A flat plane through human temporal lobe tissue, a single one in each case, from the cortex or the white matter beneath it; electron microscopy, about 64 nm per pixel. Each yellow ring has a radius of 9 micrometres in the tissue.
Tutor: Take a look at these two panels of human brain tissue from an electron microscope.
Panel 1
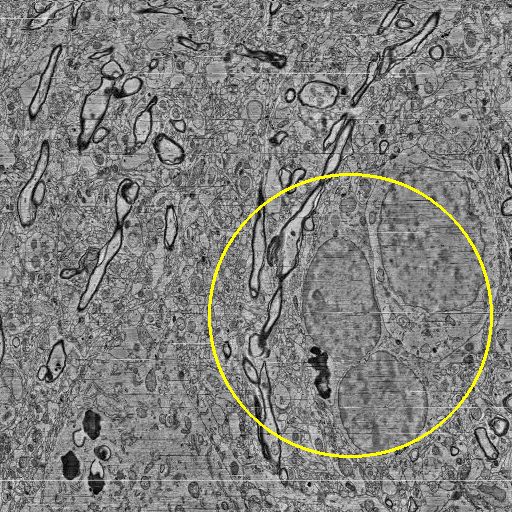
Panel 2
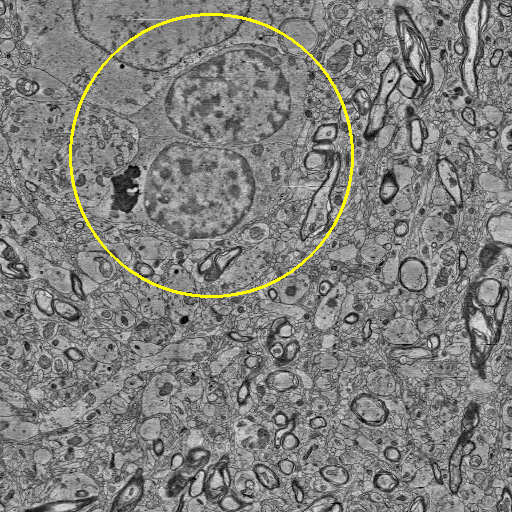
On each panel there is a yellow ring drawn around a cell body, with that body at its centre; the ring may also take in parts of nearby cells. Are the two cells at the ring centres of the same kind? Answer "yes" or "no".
yes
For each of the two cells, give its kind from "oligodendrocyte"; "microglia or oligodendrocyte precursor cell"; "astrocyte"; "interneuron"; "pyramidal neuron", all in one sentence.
Both pictures show an oligodendrocyte at the centre of the ring.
